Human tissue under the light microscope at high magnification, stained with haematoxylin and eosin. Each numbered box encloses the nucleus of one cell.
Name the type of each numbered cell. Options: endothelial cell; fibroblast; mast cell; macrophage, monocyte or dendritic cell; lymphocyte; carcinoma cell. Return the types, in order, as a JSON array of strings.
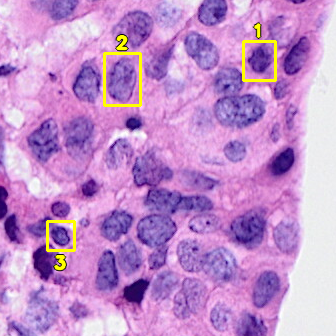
["carcinoma cell", "carcinoma cell", "lymphocyte"]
